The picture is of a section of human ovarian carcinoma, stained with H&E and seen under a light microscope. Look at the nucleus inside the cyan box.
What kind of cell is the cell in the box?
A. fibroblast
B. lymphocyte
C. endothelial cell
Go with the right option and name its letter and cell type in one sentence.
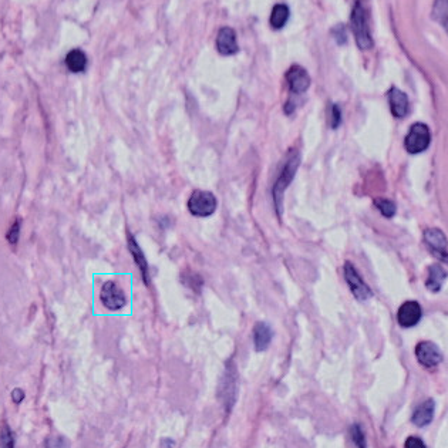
The correct option is B, and the cell in the box is a lymphocyte.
